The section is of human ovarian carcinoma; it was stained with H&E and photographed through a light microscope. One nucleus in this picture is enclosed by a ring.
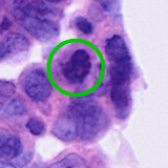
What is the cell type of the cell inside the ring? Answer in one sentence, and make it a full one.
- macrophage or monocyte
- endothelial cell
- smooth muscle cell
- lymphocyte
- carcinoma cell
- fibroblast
In cellular terms, the cell inside the ring is a carcinoma cell.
